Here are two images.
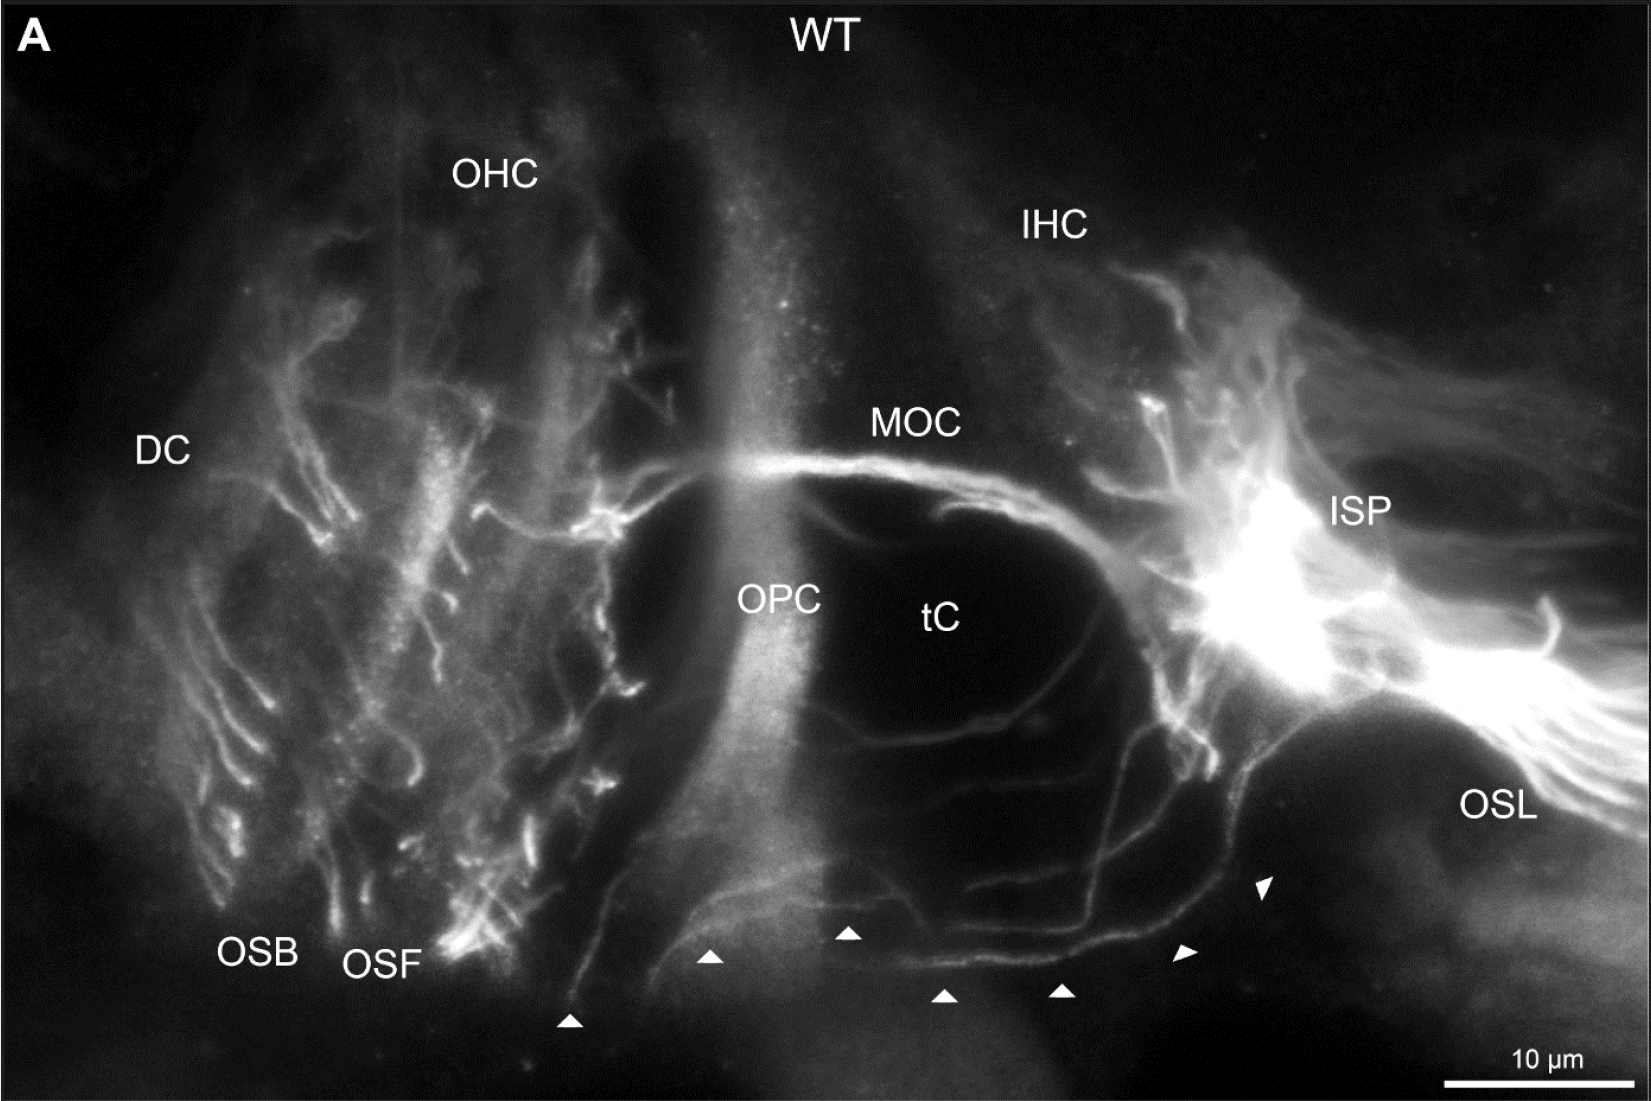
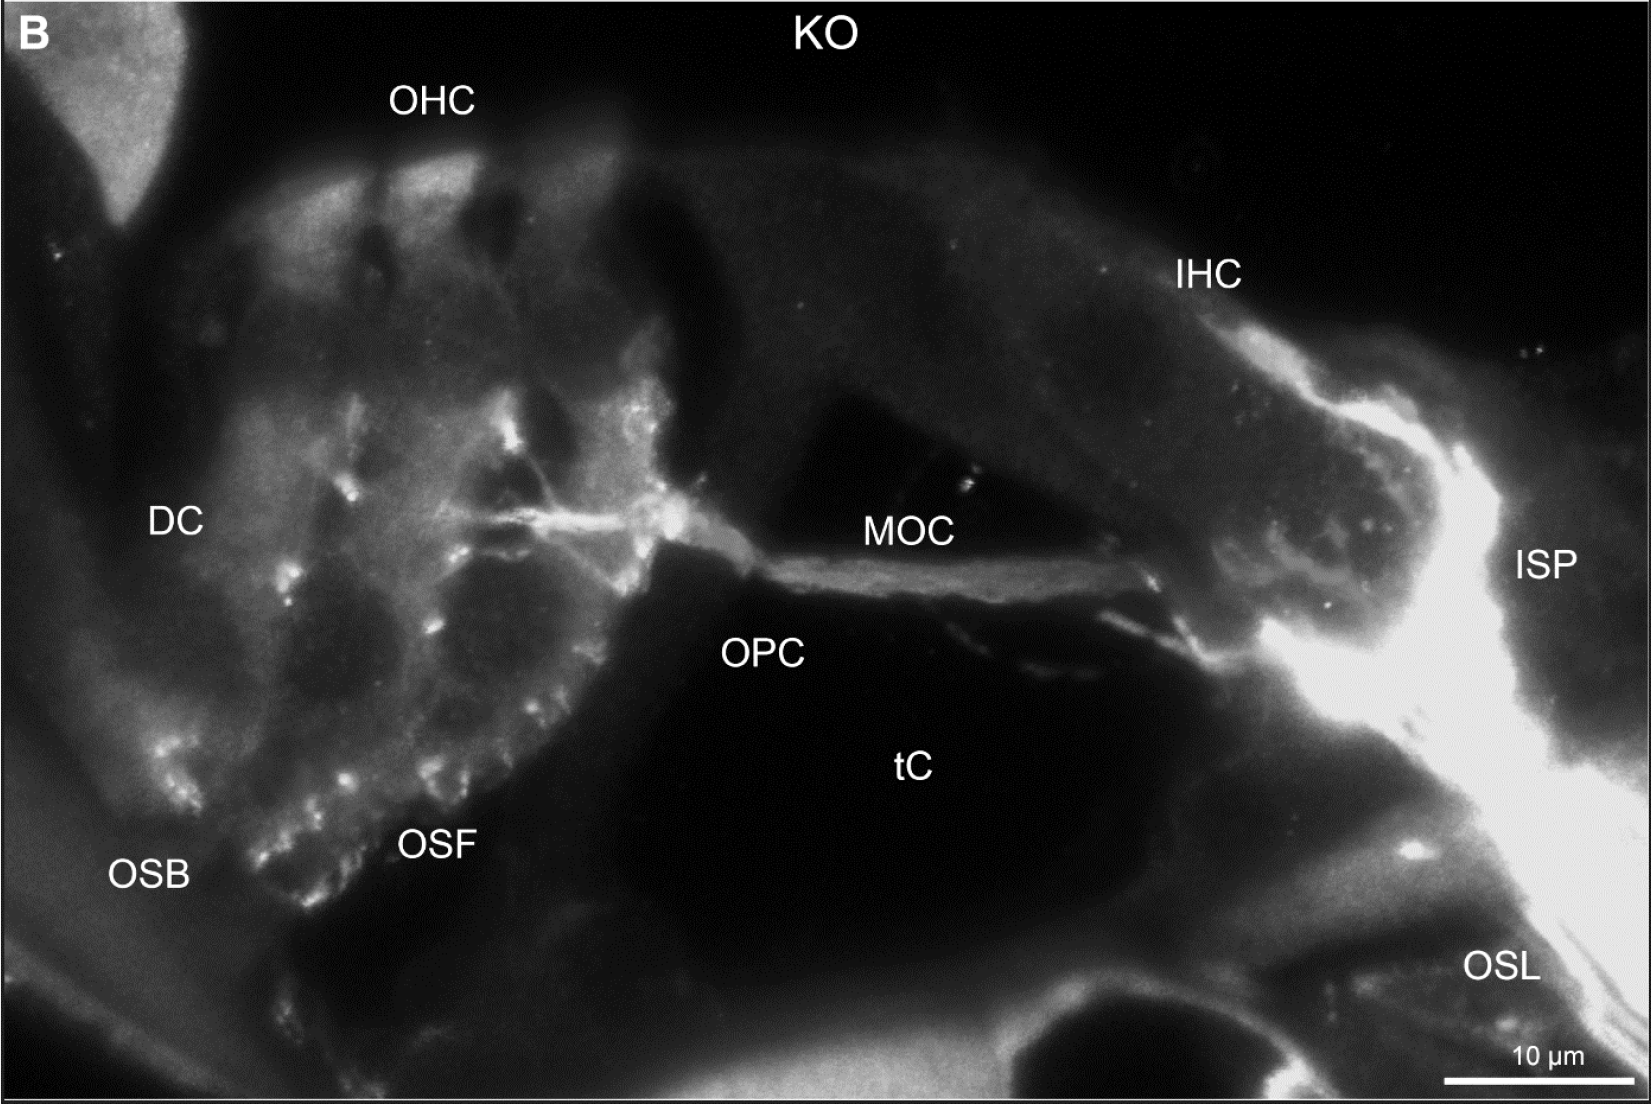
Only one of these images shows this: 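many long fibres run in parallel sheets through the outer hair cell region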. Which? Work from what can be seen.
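The first image. Second image: the outer region left of the tunnel shows only scattered bright puncta and few short fibres. First image: the outer region left of the tunnel is filled with many long, curving, roughly parallel fibres.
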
